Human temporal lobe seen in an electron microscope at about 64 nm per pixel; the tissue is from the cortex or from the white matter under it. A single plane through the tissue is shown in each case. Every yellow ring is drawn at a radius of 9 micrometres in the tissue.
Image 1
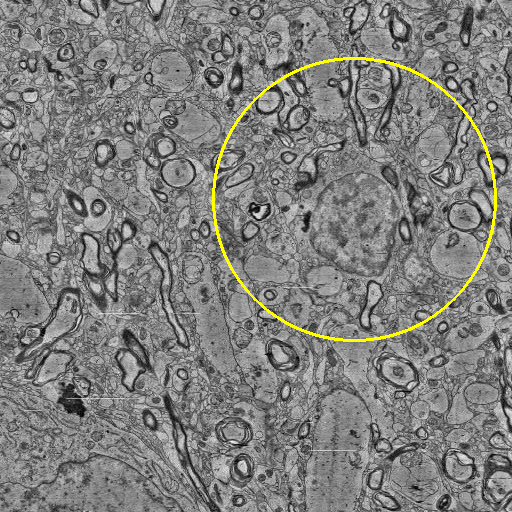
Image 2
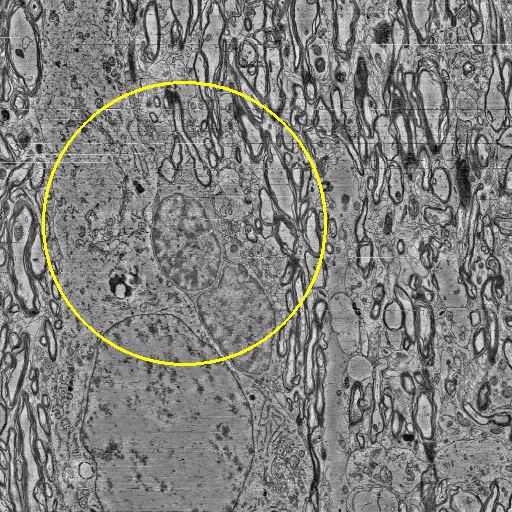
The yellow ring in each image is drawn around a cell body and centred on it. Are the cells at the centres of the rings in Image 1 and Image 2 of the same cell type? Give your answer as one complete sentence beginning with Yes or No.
Yes, both cells are of the same type.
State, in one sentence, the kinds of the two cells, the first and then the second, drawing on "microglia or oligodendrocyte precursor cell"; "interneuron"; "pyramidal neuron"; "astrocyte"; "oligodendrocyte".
Each one of the two ringed cells is an oligodendrocyte.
